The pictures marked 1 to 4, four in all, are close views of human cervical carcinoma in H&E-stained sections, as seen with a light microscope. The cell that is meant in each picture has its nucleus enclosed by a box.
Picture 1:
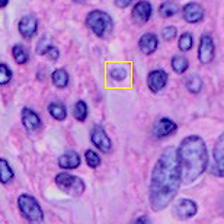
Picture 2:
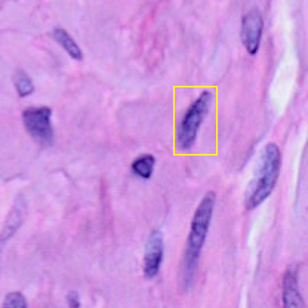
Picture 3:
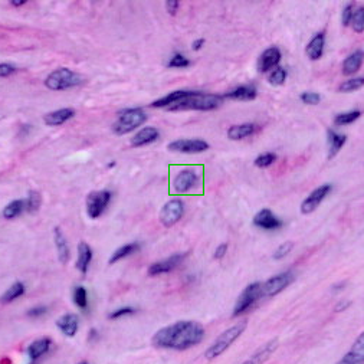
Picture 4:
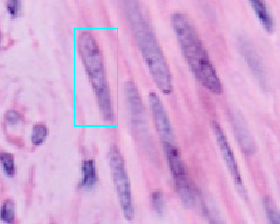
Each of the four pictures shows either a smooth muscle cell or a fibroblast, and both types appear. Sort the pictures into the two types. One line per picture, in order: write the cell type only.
smooth muscle cell
fibroblast
smooth muscle cell
smooth muscle cell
